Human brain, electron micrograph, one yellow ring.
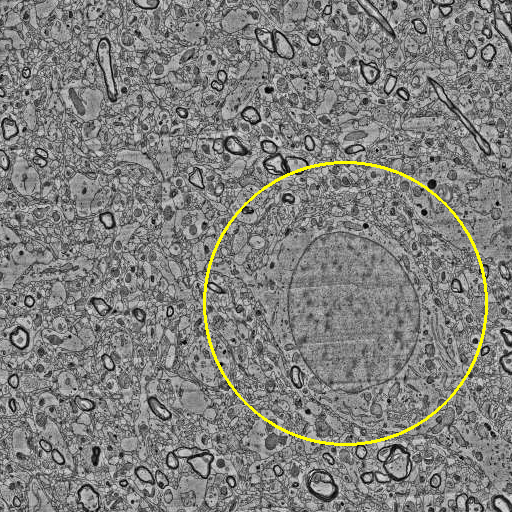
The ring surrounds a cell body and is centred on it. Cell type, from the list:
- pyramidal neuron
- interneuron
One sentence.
The yellow ring circles an interneuron.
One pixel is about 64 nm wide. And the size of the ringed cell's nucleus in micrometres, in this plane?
In this plane the nucleus measures roughly 10 by 8 micrometers.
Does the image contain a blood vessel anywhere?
No, no vessel shows anywhere in the image.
